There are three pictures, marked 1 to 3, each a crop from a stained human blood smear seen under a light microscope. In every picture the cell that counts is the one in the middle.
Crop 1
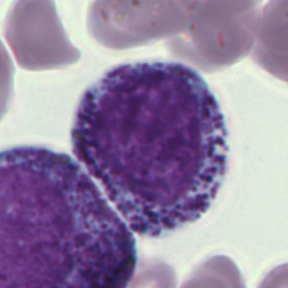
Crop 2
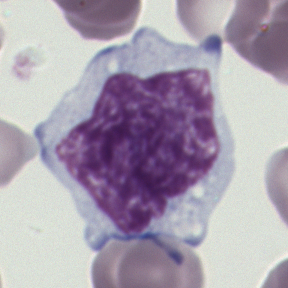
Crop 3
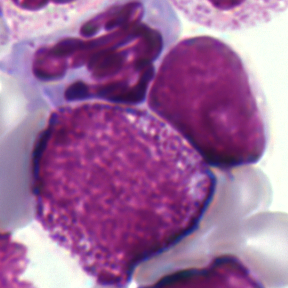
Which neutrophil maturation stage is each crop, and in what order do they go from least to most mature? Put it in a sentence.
The series, from least to most mature, is crop 2 (a myeloblast), crop 1 (a promyelocyte) and crop 3 (a myelocyte).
